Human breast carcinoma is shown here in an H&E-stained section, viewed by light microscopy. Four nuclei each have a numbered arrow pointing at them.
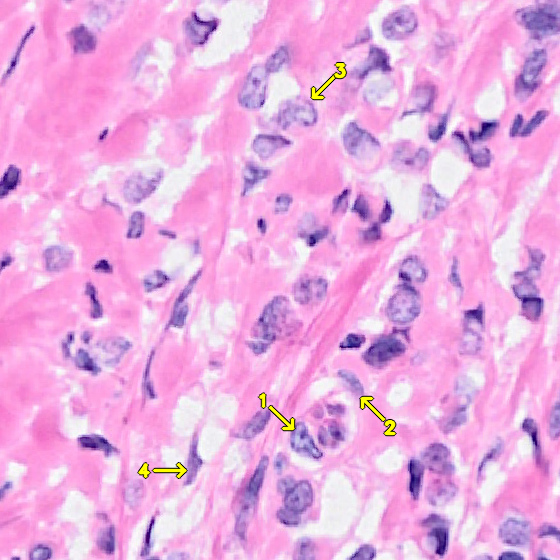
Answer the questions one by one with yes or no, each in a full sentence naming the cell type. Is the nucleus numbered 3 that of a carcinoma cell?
Yes, looking at number 3, that cell is a carcinoma cell.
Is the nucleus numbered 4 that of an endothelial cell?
No, the cell at marker 4 is not an endothelial cell; it is a fibroblast.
